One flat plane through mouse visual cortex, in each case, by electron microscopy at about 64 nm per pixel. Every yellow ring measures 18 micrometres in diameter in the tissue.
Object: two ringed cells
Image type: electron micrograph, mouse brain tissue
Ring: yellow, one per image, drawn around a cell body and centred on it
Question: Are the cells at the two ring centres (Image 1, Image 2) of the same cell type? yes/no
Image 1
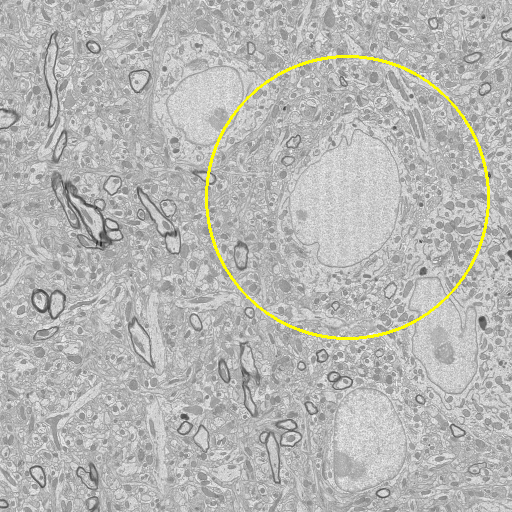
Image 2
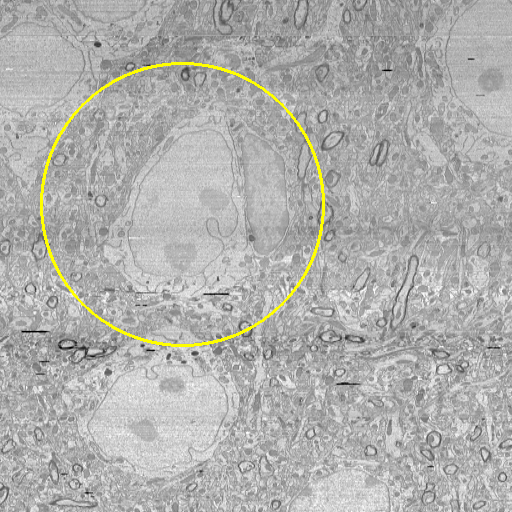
yes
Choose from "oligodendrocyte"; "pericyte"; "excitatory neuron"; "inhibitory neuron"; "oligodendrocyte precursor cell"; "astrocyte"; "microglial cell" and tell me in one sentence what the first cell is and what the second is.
Each of the two cells is an excitatory neuron.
